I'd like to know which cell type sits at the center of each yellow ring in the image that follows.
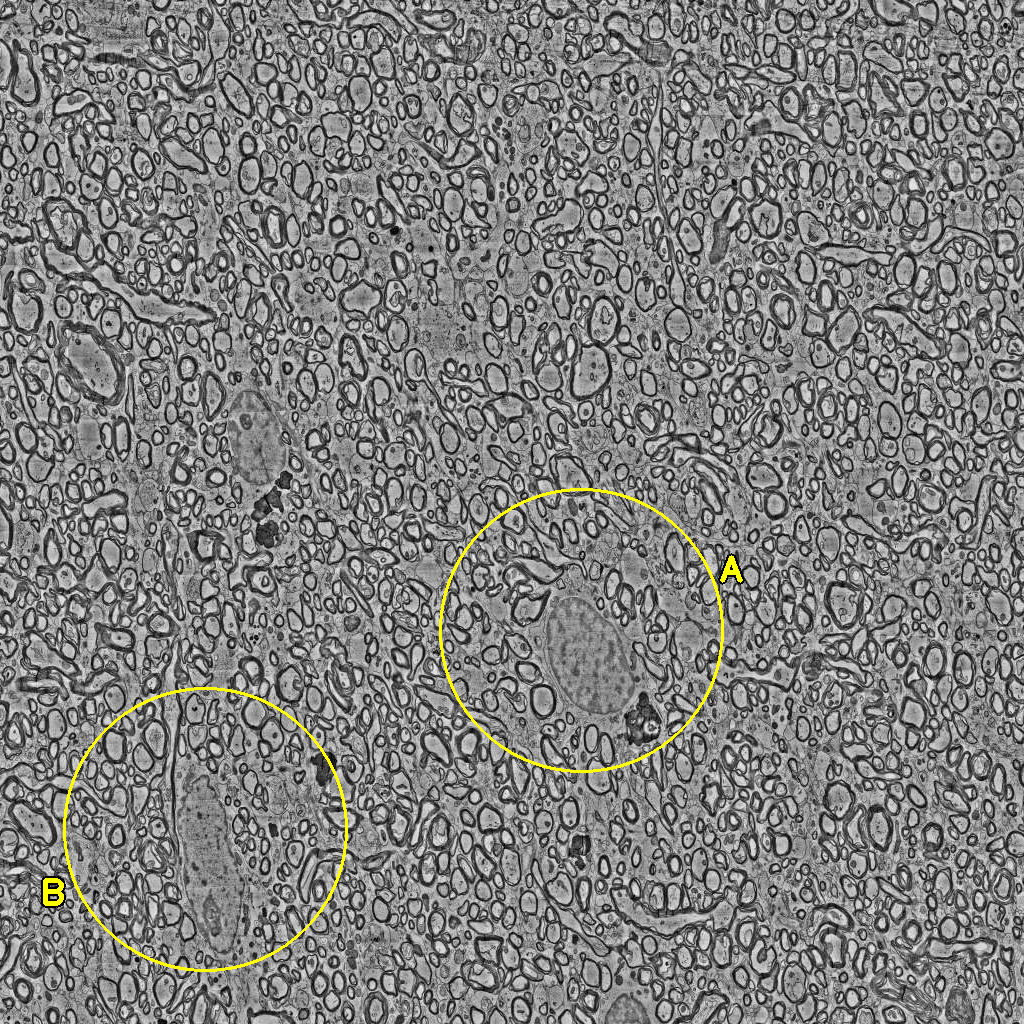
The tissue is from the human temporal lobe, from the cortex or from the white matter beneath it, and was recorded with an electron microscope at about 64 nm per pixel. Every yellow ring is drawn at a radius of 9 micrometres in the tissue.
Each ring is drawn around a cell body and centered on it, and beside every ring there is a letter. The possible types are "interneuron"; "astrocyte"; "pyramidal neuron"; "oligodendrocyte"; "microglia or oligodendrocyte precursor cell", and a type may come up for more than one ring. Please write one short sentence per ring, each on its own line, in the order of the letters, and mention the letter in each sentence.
The cell at the center of ring A is an oligodendrocyte.
The cell at the center of ring B is an astrocyte.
